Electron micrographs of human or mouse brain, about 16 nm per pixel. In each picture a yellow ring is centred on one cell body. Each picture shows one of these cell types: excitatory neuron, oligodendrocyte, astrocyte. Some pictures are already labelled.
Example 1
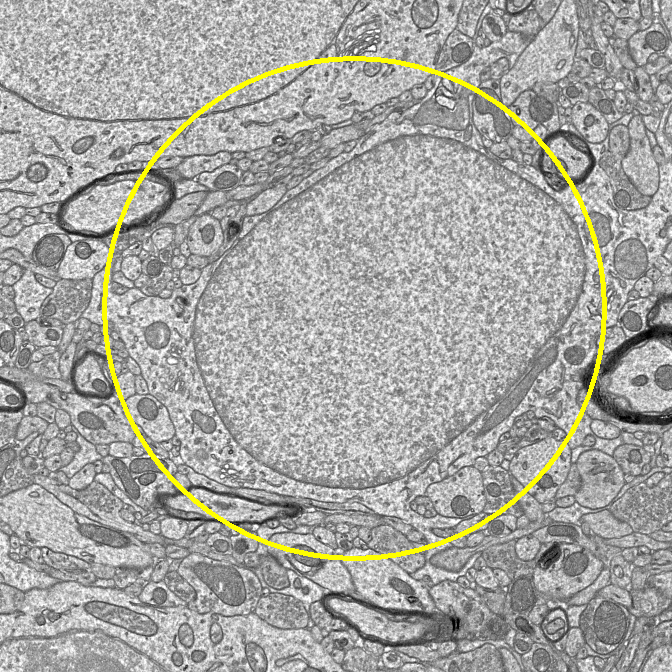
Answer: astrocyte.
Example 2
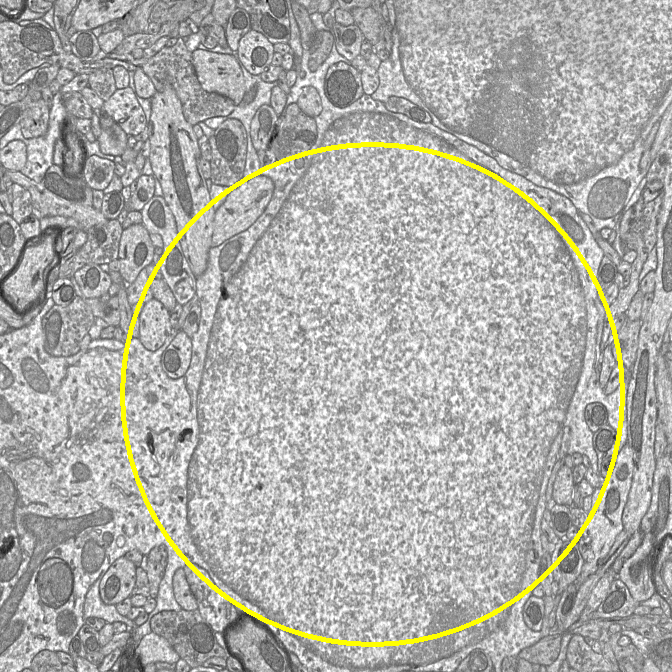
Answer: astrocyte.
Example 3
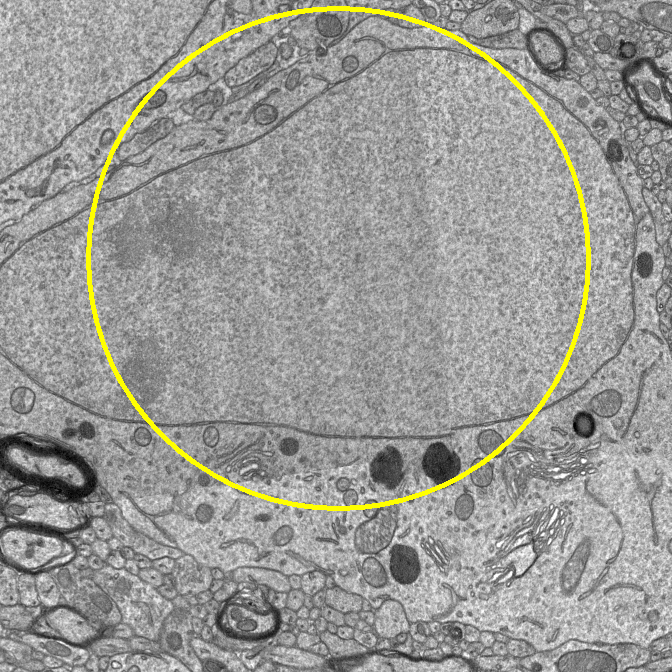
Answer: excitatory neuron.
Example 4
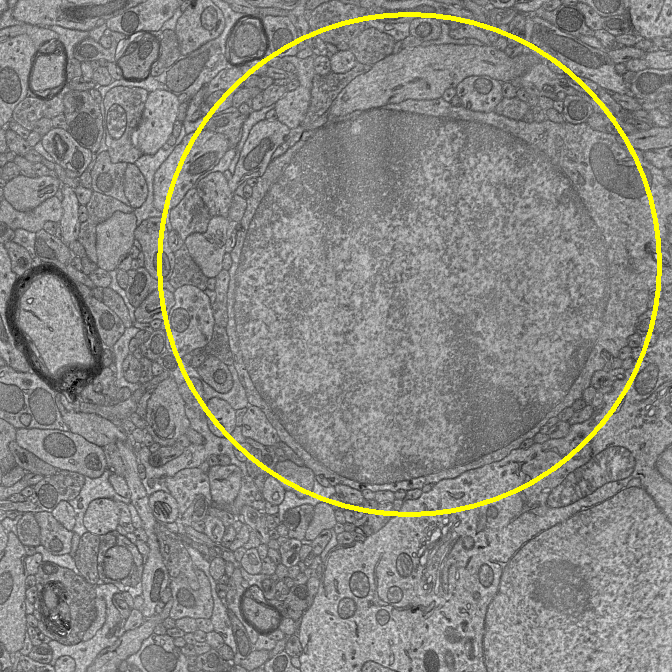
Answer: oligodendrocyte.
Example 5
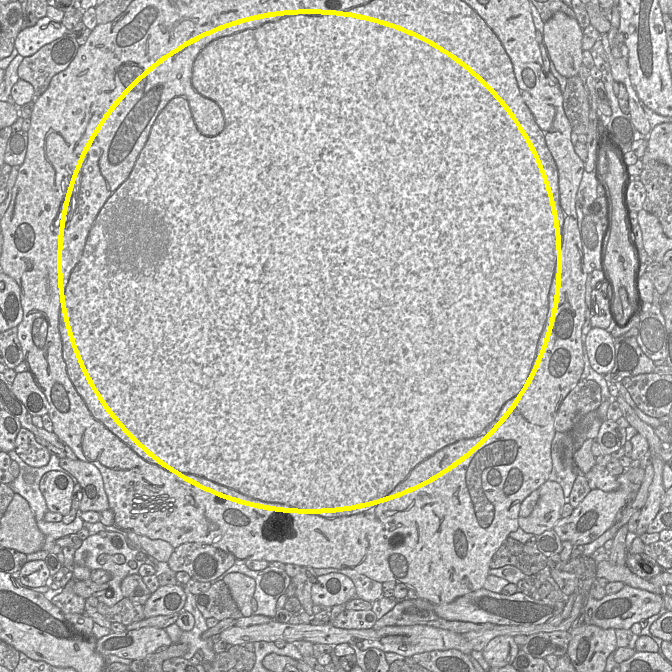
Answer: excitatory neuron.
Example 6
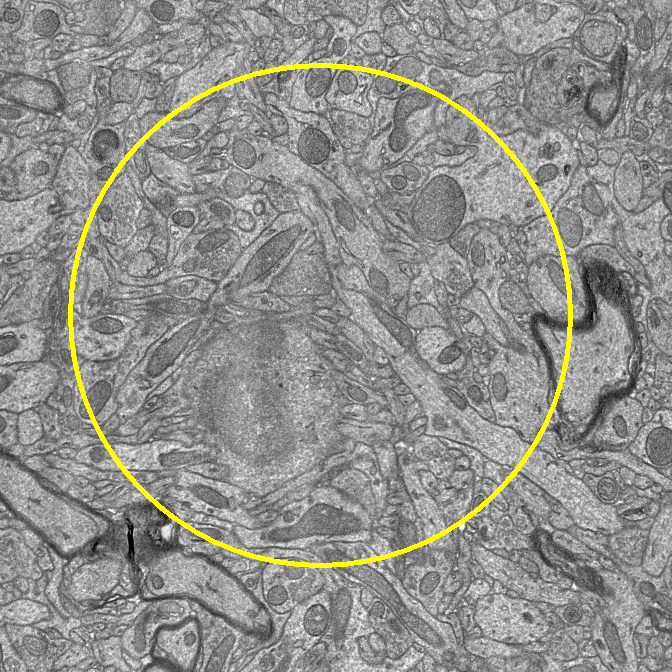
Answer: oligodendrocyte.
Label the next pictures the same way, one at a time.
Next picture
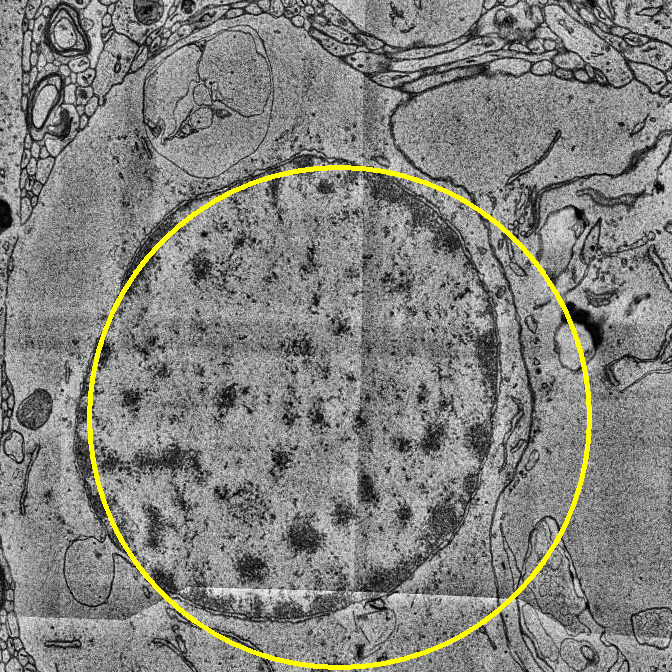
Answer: astrocyte.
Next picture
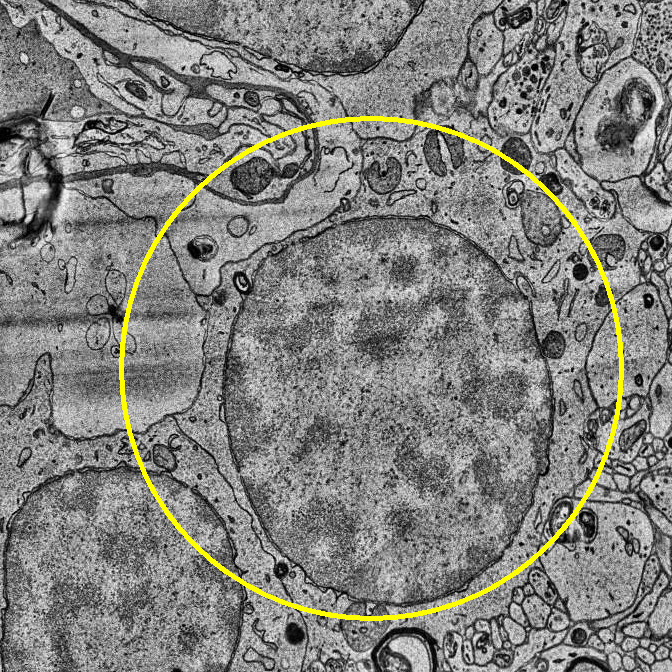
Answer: oligodendrocyte.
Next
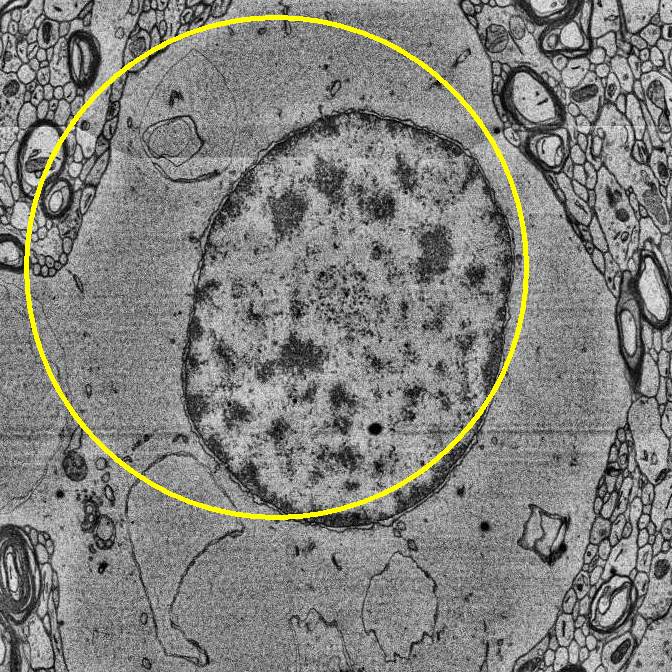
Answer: astrocyte.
